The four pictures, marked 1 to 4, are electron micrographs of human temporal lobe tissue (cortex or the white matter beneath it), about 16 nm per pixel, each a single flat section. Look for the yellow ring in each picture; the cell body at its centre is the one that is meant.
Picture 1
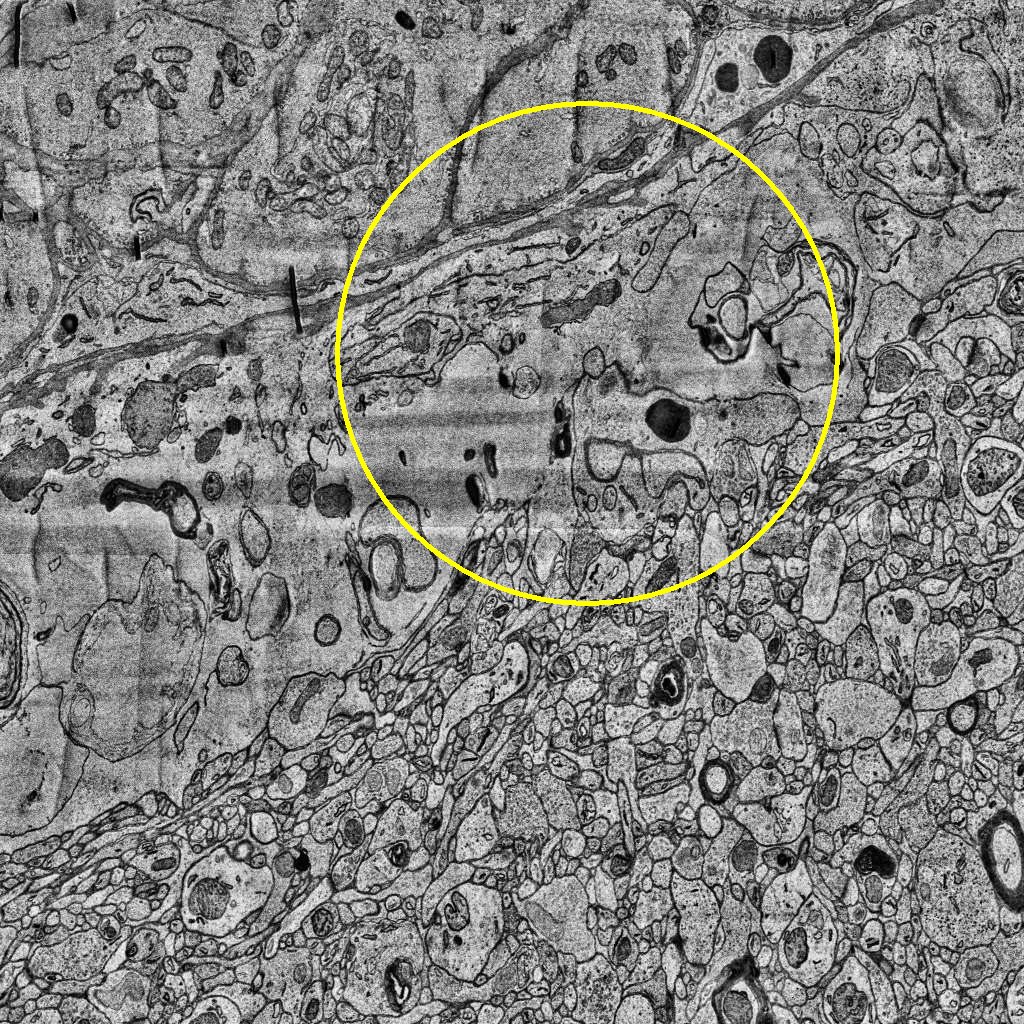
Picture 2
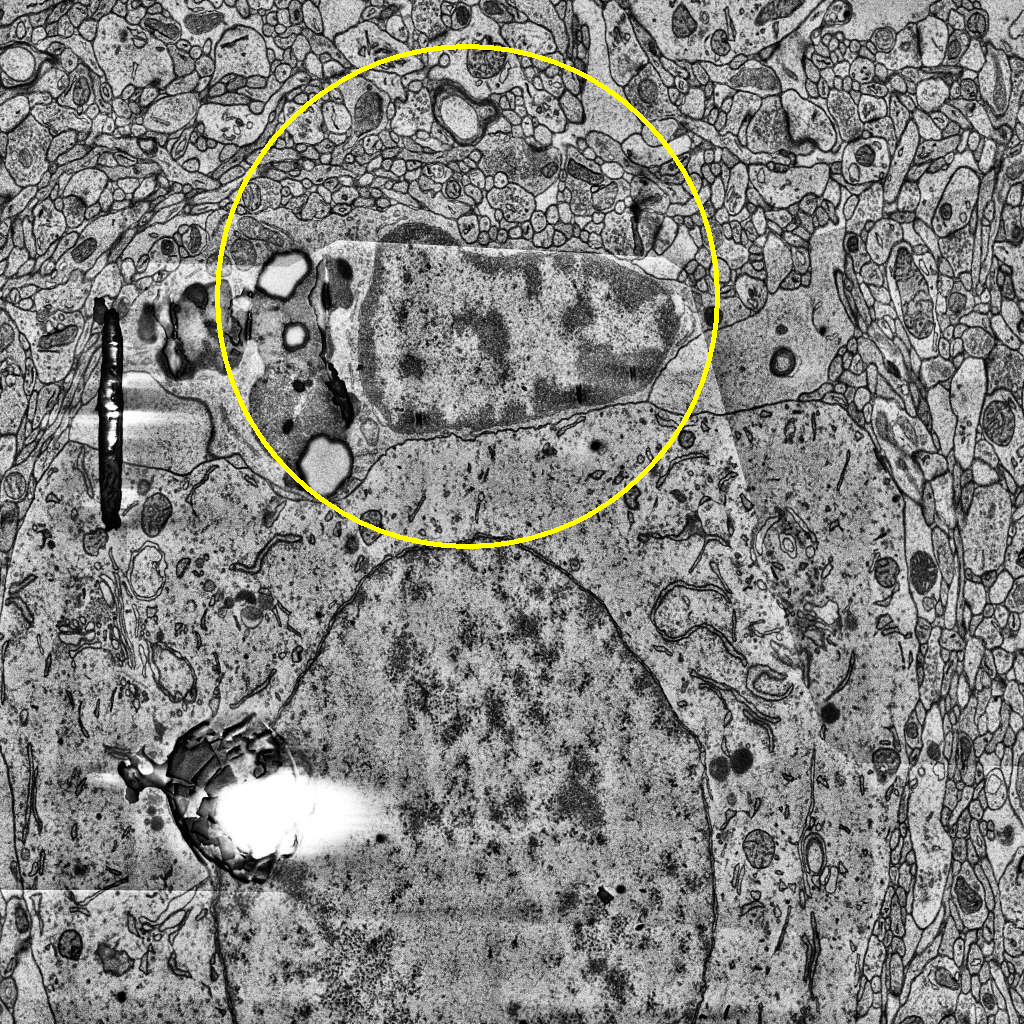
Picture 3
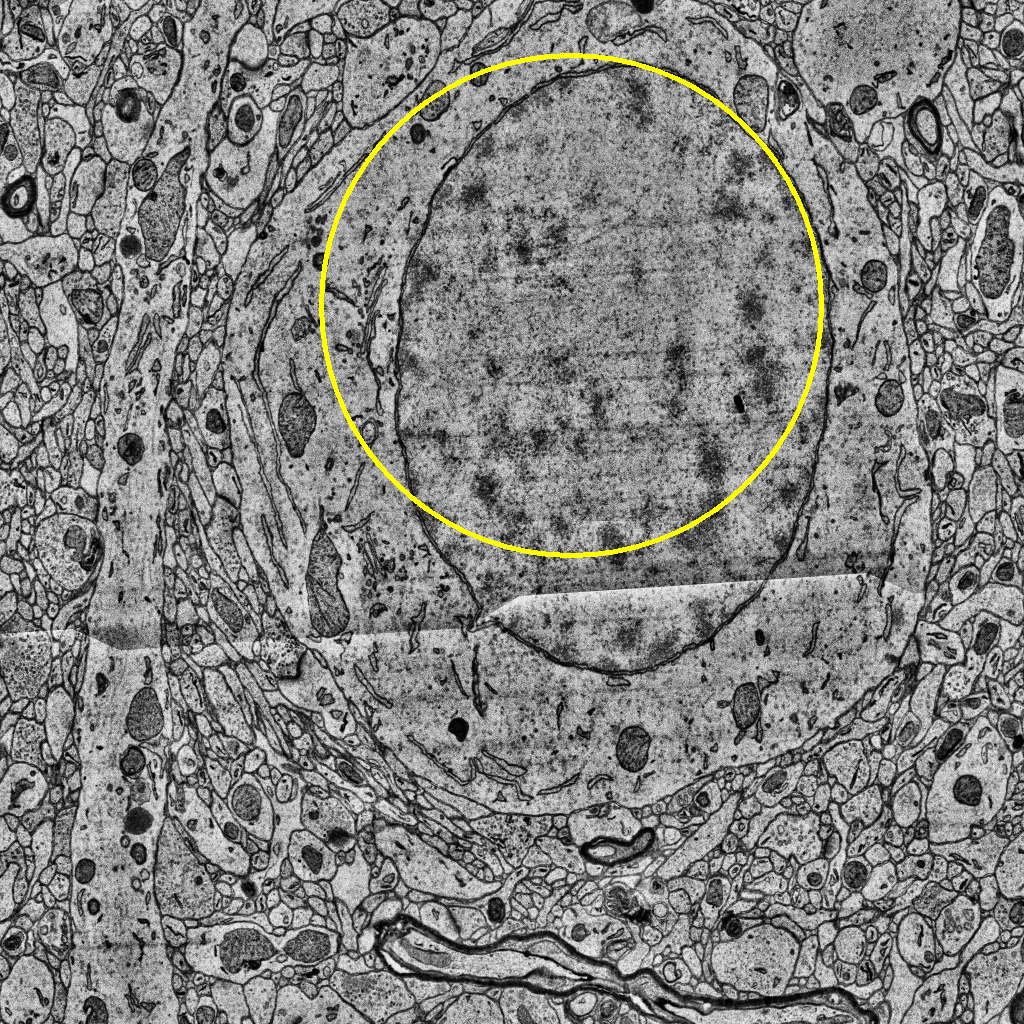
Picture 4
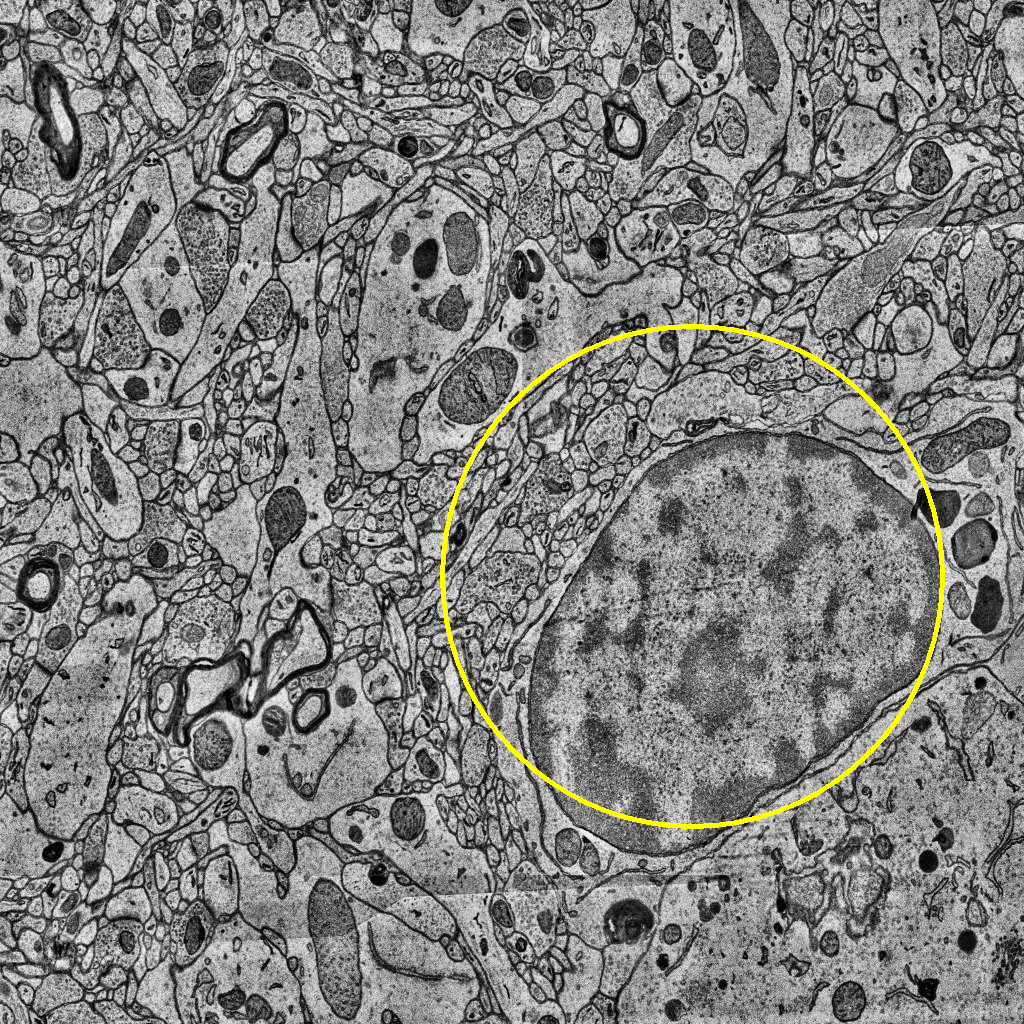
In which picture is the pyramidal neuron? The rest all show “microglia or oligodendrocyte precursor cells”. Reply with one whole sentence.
Picture 3 is the one that shows the pyramidal neuron.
